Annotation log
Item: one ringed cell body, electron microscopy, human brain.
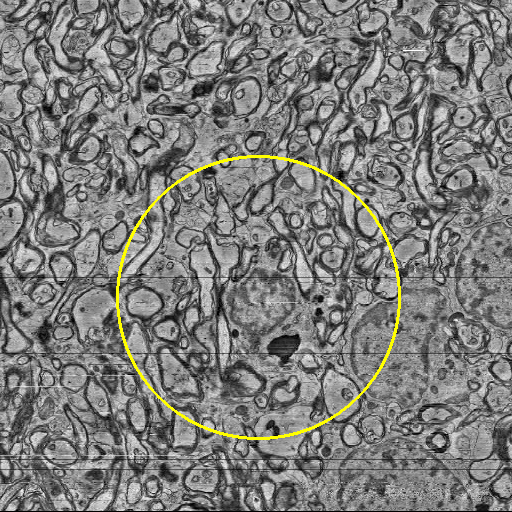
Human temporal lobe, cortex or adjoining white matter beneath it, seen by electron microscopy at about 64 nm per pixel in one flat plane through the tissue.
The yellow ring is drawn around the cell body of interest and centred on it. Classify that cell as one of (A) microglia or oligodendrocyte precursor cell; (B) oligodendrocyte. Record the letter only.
B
